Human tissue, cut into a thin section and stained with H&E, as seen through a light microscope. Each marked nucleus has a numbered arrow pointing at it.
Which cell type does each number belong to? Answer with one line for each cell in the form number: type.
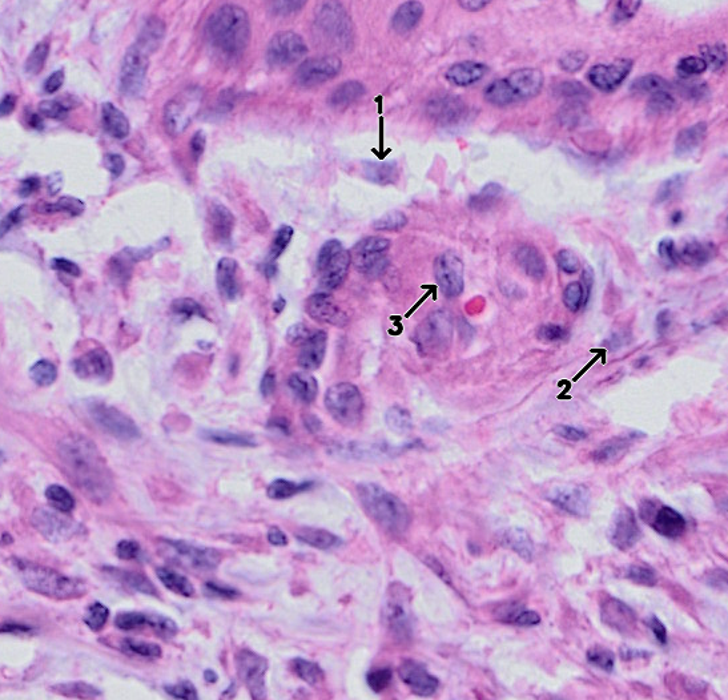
1: fibroblast
2: fibroblast
3: endothelial cell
